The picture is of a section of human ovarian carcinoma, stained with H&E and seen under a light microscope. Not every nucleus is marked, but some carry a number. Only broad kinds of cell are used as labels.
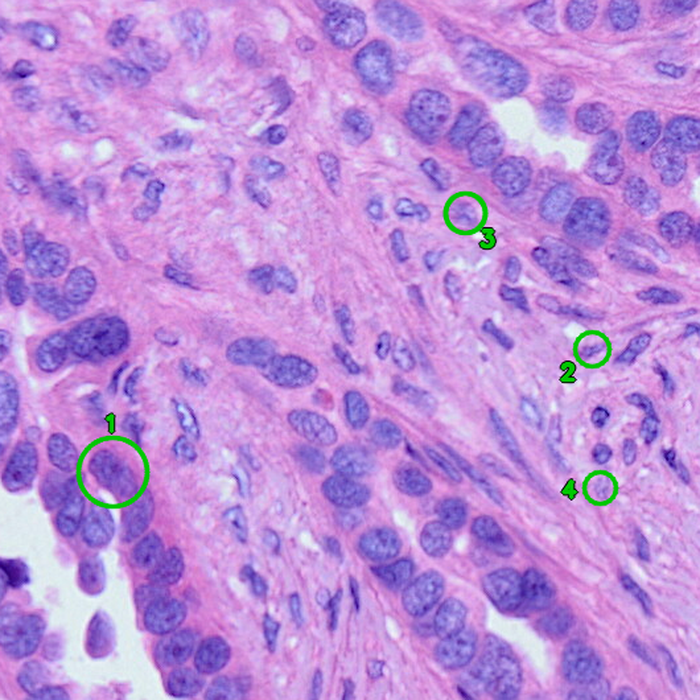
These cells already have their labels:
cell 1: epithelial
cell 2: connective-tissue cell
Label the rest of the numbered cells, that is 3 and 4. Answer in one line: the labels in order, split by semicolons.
connective-tissue cell; connective-tissue cell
